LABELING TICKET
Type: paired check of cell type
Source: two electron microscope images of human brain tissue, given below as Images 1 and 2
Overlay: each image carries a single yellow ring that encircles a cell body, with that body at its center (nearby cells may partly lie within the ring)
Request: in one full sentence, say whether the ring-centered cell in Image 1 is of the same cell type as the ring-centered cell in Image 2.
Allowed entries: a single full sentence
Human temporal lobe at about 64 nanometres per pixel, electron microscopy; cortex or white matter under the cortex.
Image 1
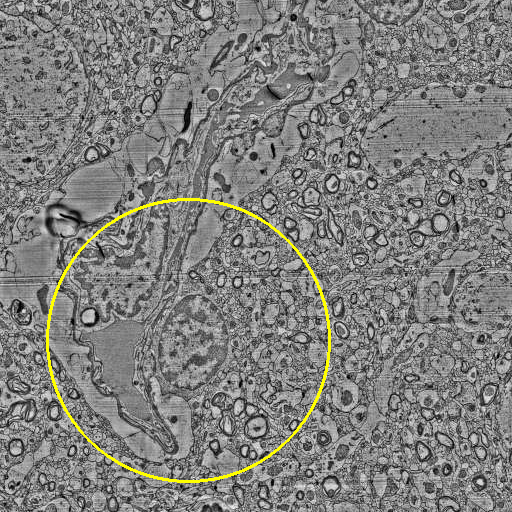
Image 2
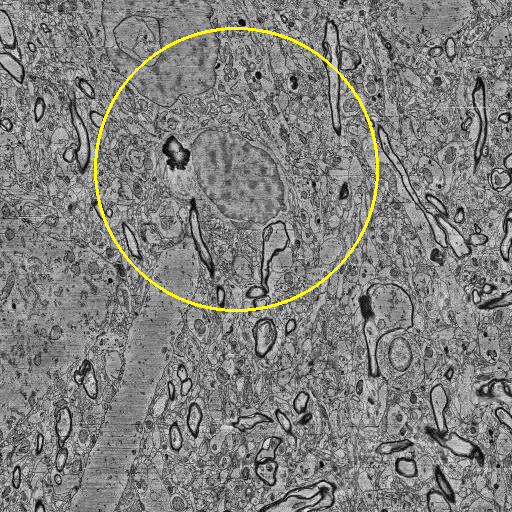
Yes, the cells centered in the rings of Image 1 and Image 2 share one type.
